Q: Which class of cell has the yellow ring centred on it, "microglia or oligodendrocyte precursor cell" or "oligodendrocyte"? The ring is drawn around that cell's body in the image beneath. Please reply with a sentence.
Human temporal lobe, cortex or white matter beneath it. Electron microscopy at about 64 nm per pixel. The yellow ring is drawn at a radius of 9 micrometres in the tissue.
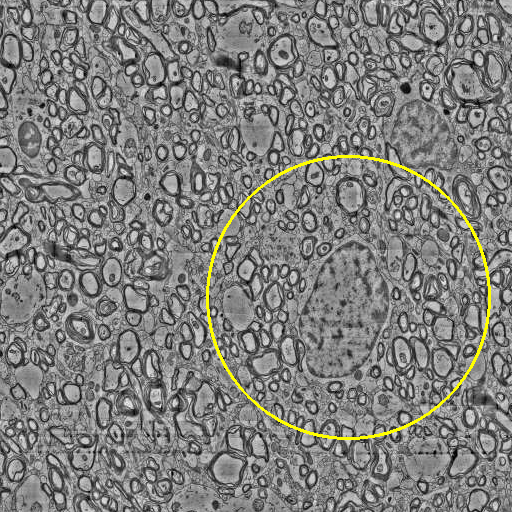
It is centred on a microglial cell or oligodendrocyte precursor cell.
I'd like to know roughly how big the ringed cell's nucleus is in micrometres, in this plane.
Approximately 9 by 5 micrometers, which makes the nucleus clearly longer than it is wide in this plane.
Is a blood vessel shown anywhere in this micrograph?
No.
